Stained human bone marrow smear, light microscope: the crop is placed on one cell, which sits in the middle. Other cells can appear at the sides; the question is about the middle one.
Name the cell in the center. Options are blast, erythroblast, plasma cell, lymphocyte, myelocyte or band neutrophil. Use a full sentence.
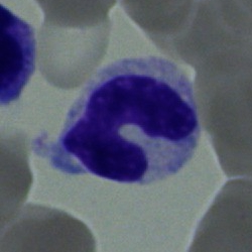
What the crop centres on is a band neutrophil.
